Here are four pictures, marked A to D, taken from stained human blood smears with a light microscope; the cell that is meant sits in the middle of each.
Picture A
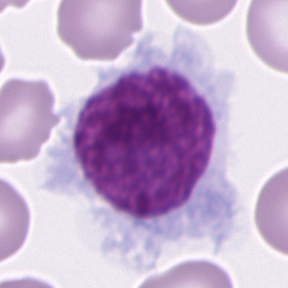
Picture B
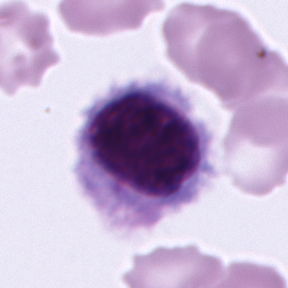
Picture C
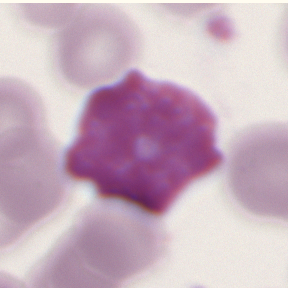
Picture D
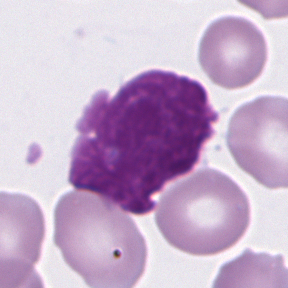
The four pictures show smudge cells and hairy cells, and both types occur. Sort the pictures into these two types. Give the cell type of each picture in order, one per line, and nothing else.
hairy cell
hairy cell
smudge cell
smudge cell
